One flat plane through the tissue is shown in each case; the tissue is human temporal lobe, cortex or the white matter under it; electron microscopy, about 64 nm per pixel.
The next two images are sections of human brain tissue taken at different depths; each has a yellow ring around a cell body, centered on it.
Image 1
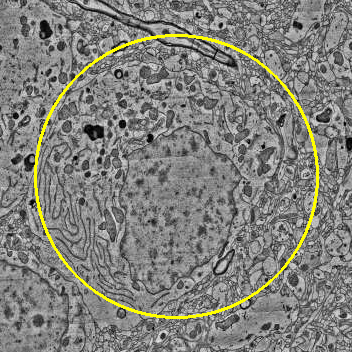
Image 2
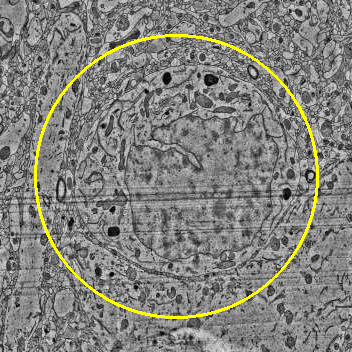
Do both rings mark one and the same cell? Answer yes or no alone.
no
